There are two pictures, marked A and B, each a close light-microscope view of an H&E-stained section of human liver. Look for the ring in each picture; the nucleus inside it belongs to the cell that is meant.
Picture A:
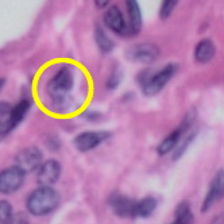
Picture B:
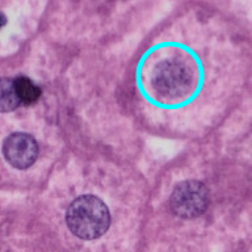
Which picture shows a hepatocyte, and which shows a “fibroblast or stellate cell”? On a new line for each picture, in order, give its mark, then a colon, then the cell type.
A: fibroblast or stellate cell
B: hepatocyte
